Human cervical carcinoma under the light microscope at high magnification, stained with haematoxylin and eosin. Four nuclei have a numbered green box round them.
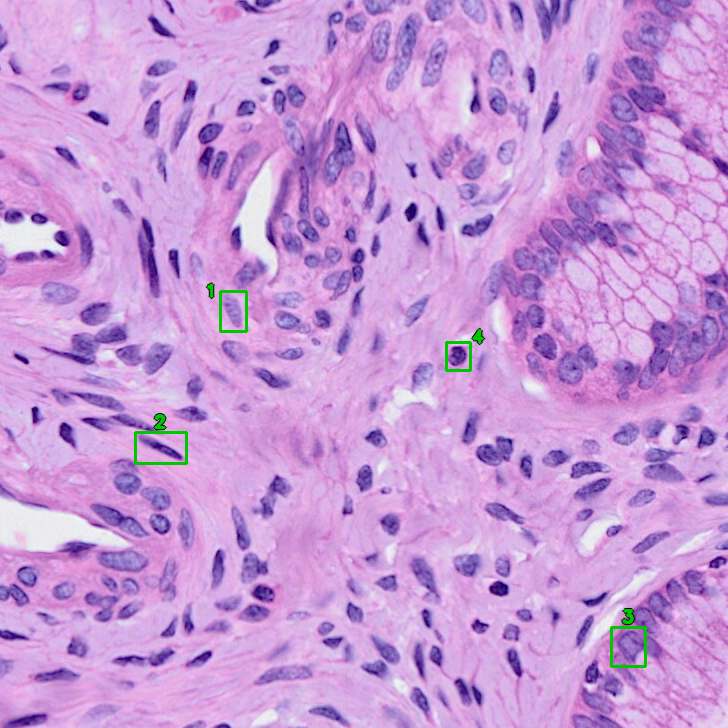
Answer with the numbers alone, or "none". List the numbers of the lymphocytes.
4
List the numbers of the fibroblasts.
2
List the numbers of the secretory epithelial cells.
3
